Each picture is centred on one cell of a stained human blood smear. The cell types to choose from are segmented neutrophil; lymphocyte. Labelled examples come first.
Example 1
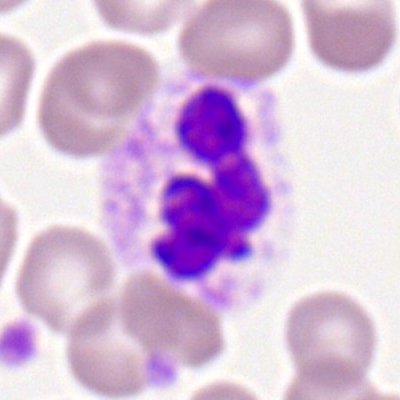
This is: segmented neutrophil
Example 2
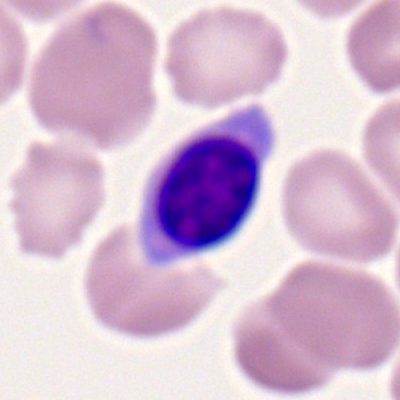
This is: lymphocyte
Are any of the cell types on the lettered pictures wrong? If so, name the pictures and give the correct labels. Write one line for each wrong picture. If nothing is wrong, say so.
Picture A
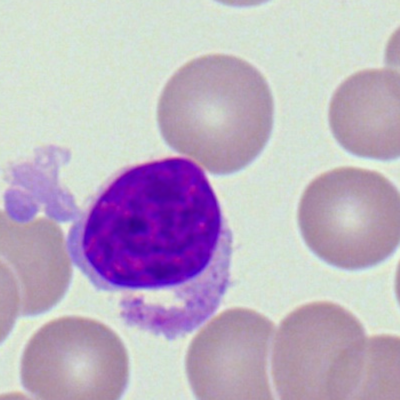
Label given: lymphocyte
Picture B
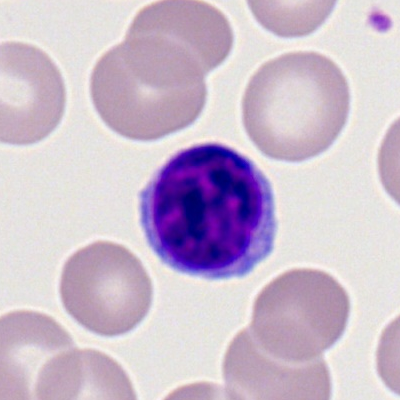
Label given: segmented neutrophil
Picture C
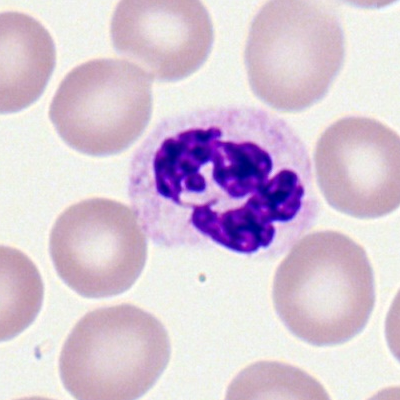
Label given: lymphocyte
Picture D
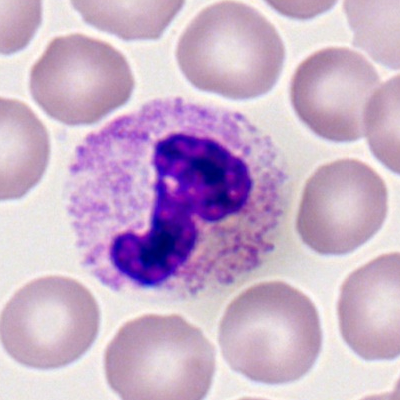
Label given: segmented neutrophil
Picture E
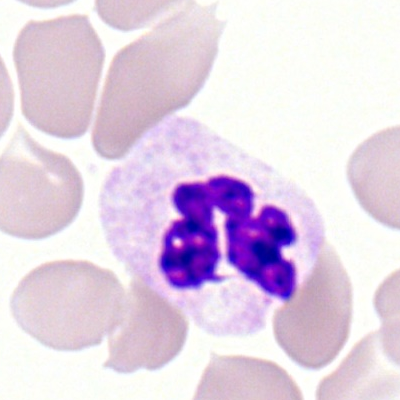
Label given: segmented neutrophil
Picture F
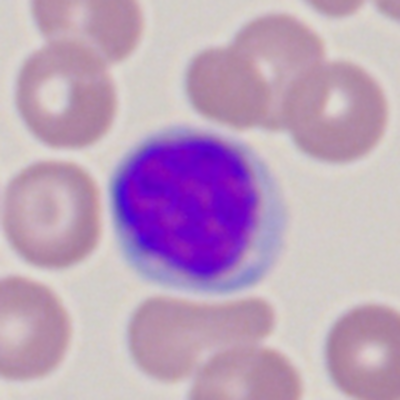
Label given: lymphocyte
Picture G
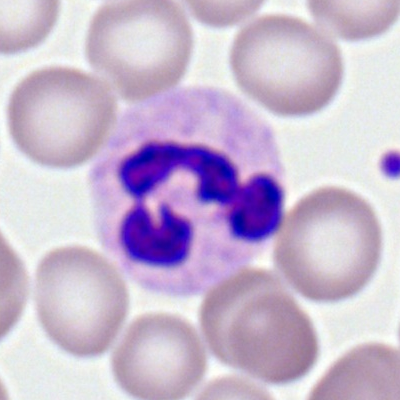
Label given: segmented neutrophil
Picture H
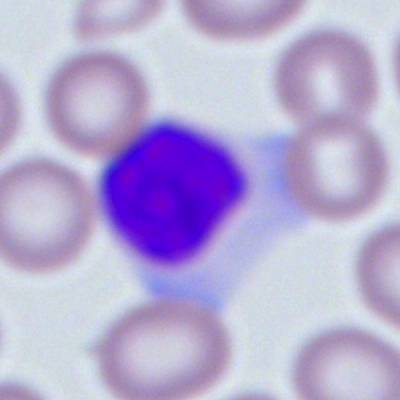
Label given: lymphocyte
Wrong: B (segmented neutrophil); correct: lymphocyte
Wrong: C (lymphocyte); correct: segmented neutrophil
